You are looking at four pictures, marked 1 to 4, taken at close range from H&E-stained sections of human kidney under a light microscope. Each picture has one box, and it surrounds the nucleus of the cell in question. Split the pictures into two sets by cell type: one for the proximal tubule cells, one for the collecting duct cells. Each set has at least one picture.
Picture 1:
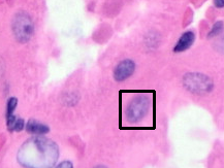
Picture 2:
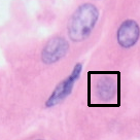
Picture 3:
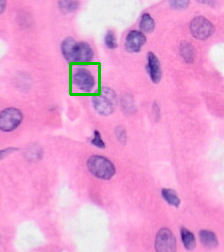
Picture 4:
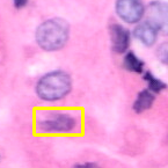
1: proximal tubule cell
2: proximal tubule cell
3: collecting duct cell
4: proximal tubule cell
